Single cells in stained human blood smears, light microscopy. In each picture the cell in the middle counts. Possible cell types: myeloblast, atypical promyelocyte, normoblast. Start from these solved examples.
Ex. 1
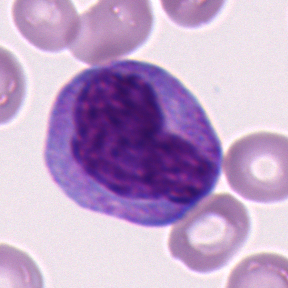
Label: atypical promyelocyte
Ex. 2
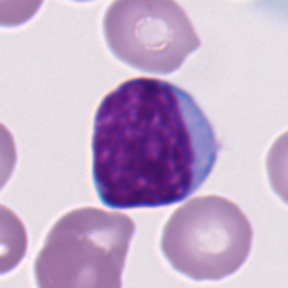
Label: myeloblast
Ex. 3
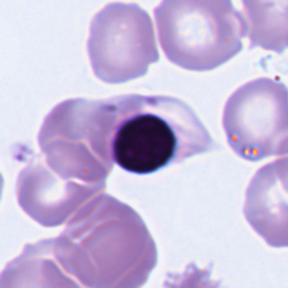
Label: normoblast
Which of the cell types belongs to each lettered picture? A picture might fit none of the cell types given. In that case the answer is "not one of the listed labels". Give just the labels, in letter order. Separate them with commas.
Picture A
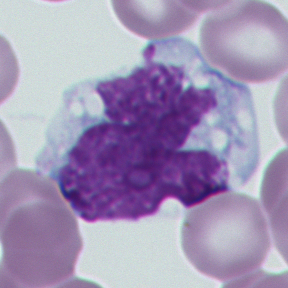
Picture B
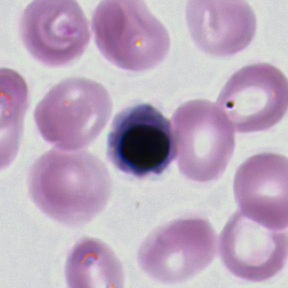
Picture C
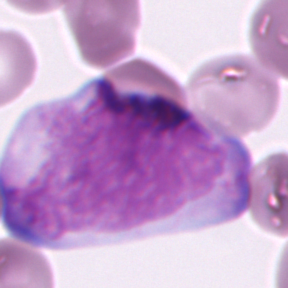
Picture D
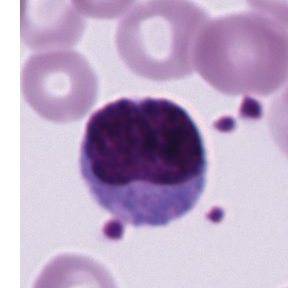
not one of the listed labels, normoblast, atypical promyelocyte, not one of the listed labels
